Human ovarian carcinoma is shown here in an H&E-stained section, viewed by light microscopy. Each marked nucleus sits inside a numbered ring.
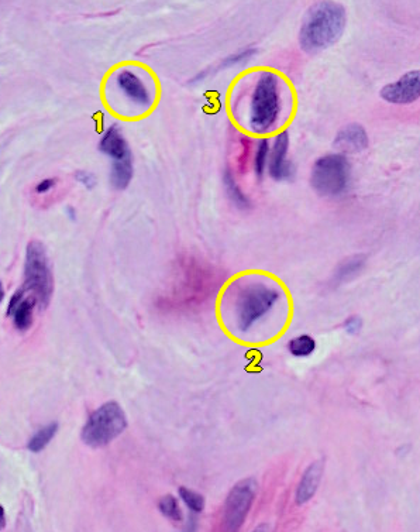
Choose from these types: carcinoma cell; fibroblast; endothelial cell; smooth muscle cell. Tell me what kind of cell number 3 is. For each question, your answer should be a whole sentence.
Cell 3 in the field of view is an endothelial cell.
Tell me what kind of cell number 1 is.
The cell numbered 1 represents a fibroblast.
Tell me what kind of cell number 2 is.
Marked with the number 2, this cell is a fibroblast.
